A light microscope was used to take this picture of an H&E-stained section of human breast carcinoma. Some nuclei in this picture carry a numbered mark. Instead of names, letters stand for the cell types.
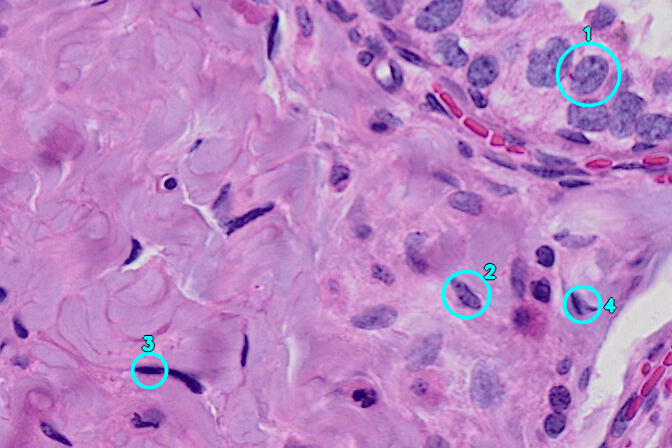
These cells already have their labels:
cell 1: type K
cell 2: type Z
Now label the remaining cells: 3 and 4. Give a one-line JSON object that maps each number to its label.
{"3": "type Z", "4": "type Z"}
